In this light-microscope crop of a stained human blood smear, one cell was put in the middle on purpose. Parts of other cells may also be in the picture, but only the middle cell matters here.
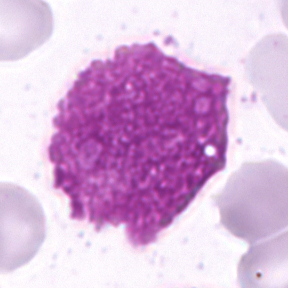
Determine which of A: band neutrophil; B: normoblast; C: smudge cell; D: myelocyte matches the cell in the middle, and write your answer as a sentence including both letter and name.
Option C is right, the centrally situated cell being a smudge cell.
